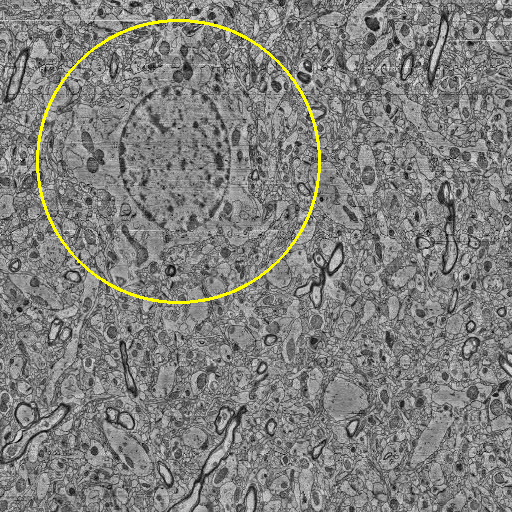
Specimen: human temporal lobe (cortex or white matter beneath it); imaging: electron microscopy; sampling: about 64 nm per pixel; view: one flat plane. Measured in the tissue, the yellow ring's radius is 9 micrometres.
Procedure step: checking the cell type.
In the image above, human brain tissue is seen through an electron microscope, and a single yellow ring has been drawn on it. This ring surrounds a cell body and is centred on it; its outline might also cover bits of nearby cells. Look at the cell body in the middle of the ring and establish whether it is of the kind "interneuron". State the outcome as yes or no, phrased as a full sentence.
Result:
No, the cell body at the ring's centre in the image is of another kind.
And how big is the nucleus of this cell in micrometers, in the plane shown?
The nucleus of the ringed cell is approximately 9 by 7 micrometres in this plane.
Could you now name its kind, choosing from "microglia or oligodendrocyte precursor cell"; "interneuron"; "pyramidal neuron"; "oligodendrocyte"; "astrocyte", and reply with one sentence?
The cell ringed in the picture is an astrocyte.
